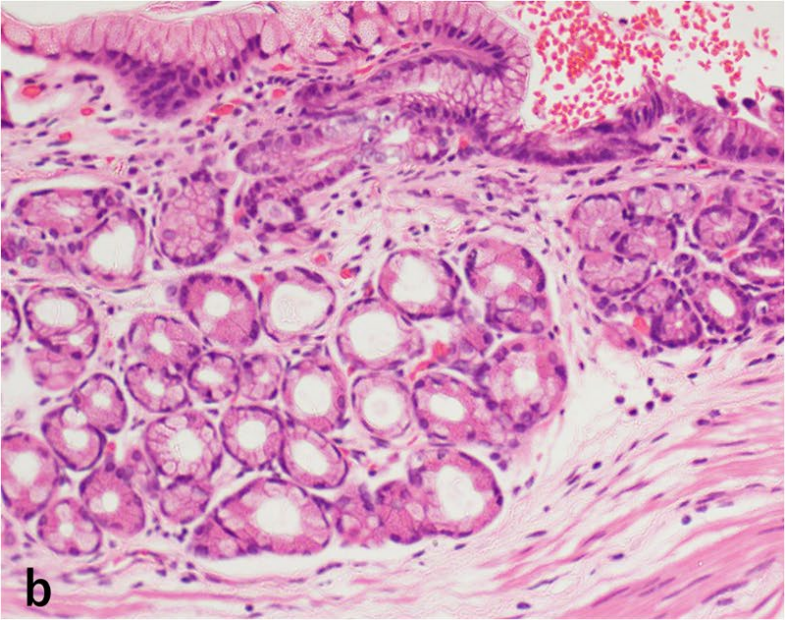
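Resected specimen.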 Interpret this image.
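This is gastric-type mucosa lying in the wall beneath a columnar surface lining. Along the top runs tall columnar epithelium whose cells carry pale pink apical cytoplasm above small basal nuclei. Below the lining lies a compact cluster of small round glands. Thin fibrous stroma separates the glands from one another. Bands of pink smooth muscle pass along the lower right, and red blood cells lie at the upper right.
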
